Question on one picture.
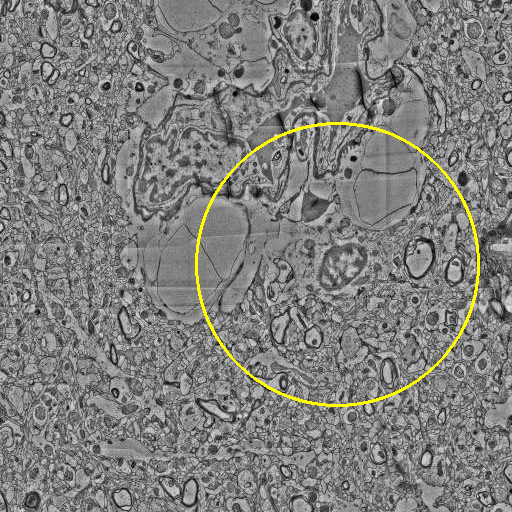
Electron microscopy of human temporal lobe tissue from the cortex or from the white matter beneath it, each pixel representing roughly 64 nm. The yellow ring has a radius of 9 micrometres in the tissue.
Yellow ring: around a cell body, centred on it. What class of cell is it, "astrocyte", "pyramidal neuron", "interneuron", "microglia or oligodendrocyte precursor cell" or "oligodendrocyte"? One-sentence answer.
This is a microglial cell or oligodendrocyte precursor cell, the cell the ring is centred on.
